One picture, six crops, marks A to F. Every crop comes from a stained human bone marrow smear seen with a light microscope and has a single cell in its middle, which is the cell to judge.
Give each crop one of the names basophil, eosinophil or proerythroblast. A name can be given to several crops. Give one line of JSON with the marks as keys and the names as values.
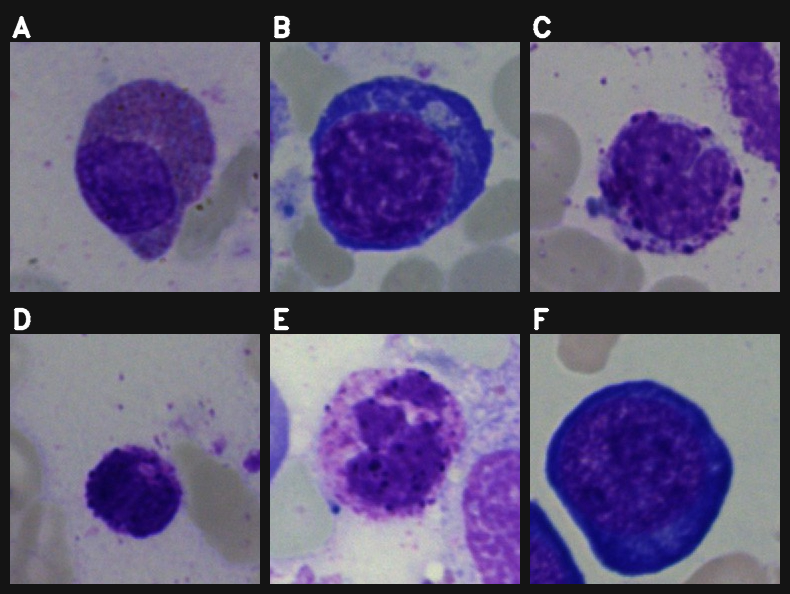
{"A": "eosinophil", "B": "proerythroblast", "C": "basophil", "D": "basophil", "E": "basophil", "F": "proerythroblast"}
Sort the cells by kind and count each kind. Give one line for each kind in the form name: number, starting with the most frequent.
basophil: 3
proerythroblast: 2
eosinophil: 1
